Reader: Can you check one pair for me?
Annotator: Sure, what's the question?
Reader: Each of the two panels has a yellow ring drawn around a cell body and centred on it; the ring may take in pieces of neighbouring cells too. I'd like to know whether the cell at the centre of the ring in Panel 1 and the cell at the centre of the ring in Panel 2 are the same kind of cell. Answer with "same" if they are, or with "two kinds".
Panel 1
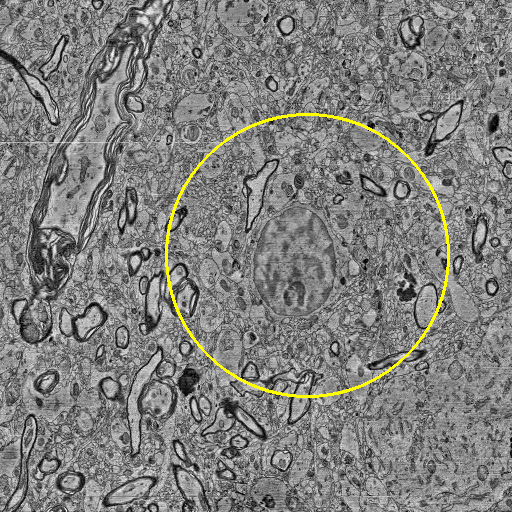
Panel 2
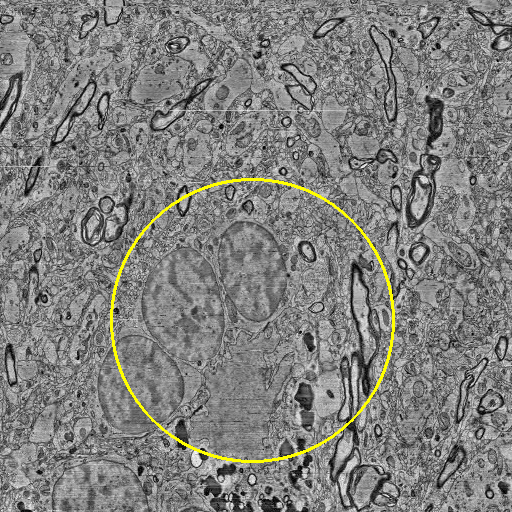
same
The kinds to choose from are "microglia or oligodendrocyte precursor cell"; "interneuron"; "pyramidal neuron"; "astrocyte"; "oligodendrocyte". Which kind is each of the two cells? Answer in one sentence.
Both pictures show an oligodendrocyte at the centre of the ring.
